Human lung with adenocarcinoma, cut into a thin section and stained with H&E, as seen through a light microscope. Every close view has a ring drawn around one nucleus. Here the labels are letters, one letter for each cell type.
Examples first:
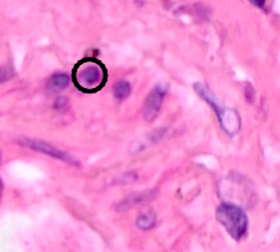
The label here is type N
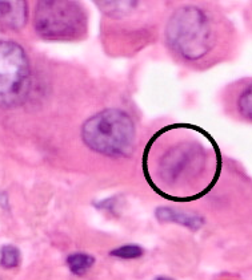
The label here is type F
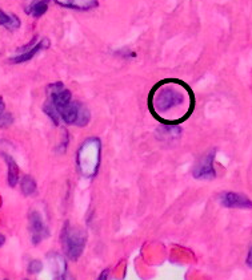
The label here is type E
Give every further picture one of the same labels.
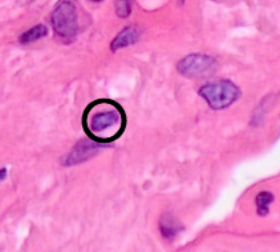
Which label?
type E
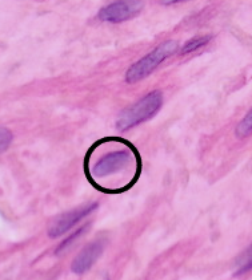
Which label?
type N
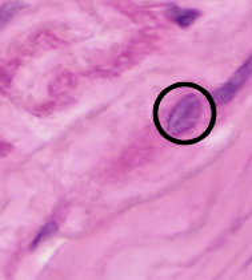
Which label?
type N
